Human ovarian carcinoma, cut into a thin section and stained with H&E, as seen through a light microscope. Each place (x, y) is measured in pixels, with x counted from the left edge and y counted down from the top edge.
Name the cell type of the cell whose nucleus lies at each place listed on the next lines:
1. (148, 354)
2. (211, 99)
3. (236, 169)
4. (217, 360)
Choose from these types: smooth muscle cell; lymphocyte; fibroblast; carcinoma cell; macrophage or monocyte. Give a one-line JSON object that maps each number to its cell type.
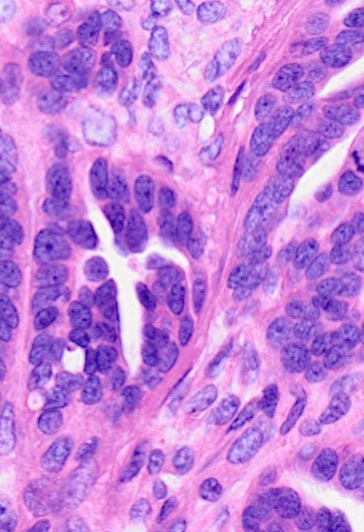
{"1": "carcinoma cell", "2": "fibroblast", "3": "fibroblast", "4": "fibroblast"}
